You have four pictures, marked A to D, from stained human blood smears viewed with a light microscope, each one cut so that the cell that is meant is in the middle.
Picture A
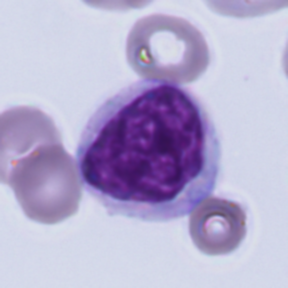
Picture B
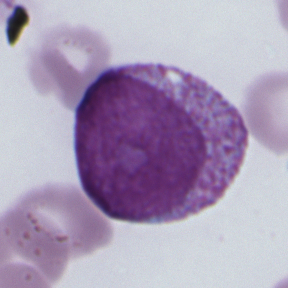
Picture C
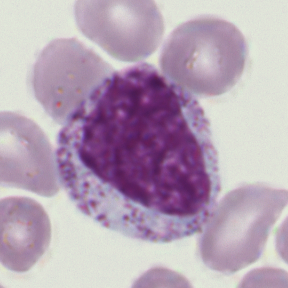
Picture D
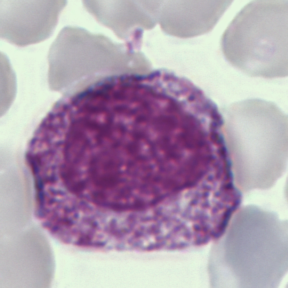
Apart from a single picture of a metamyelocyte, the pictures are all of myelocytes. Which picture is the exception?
A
